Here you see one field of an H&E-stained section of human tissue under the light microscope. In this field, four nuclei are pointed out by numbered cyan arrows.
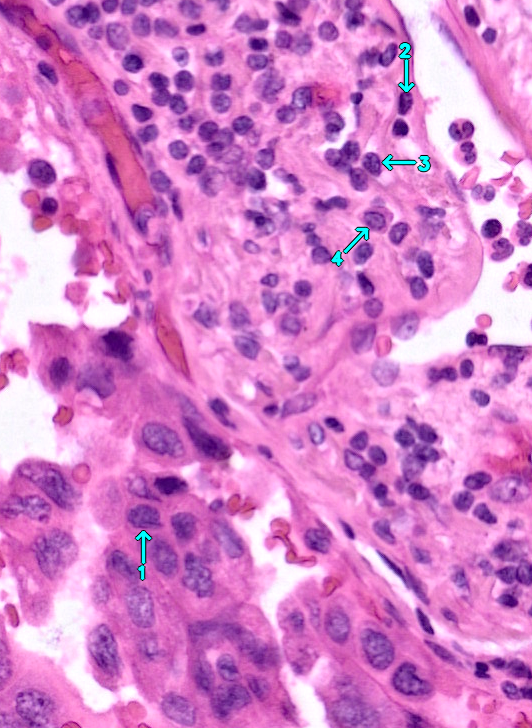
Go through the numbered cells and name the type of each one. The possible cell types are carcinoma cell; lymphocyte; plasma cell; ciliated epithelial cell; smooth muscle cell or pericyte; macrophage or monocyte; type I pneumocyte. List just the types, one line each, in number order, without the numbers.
carcinoma cell
lymphocyte
lymphocyte
plasma cell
